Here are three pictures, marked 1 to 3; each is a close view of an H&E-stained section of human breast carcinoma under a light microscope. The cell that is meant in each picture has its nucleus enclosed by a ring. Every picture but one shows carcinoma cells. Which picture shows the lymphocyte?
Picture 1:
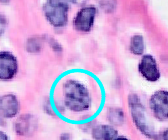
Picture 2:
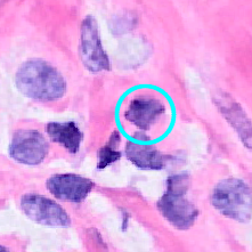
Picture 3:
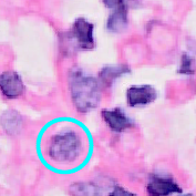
1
